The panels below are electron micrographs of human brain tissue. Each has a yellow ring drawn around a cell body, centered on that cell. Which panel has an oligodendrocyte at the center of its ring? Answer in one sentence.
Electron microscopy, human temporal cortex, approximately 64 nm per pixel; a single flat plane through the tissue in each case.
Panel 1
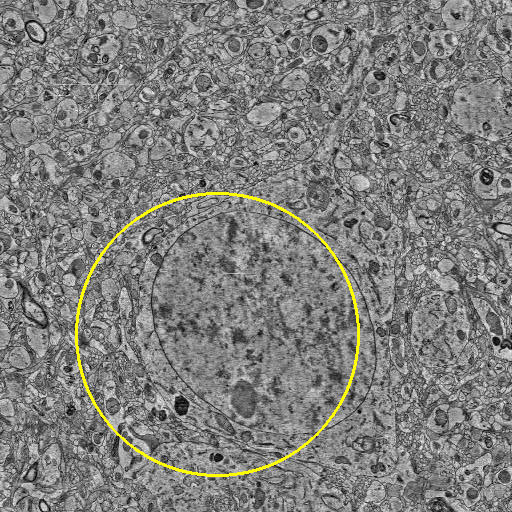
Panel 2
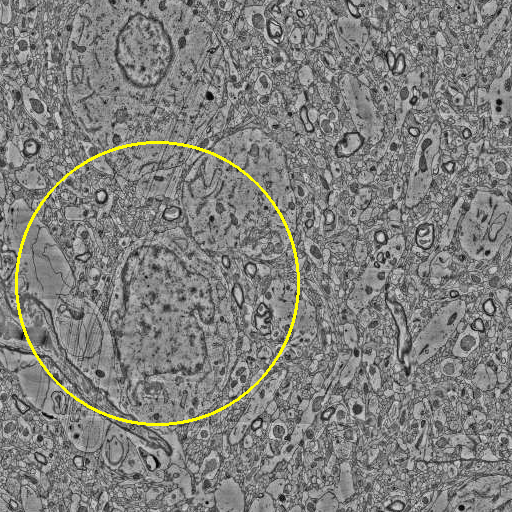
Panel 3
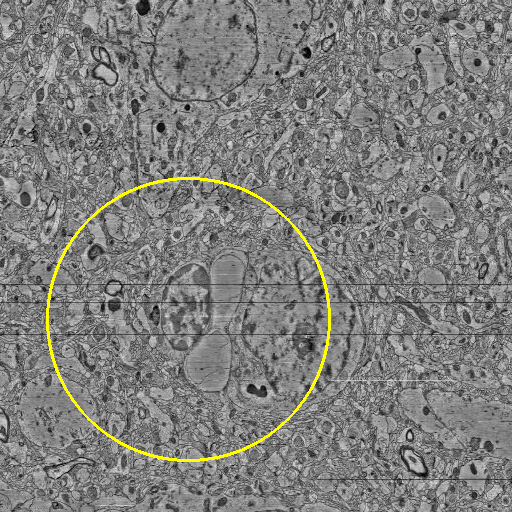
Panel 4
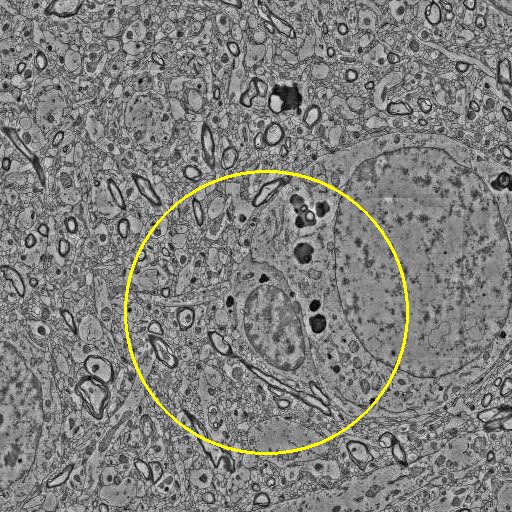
Panel 4 has it at the center of its ring.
